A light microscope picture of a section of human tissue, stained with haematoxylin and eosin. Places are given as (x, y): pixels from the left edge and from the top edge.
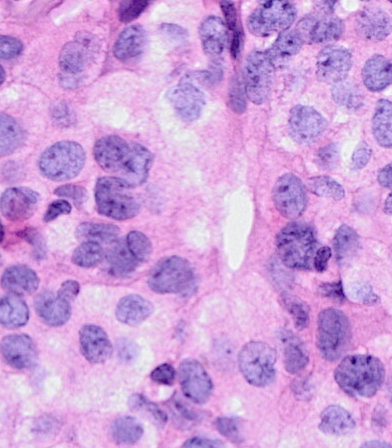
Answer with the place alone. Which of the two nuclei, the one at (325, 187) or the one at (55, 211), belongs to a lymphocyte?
(55, 211)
